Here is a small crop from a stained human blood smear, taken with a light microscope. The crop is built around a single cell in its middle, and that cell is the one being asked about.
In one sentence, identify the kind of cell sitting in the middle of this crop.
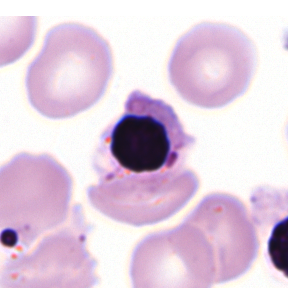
Regarding the central cell, it is a normoblast.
